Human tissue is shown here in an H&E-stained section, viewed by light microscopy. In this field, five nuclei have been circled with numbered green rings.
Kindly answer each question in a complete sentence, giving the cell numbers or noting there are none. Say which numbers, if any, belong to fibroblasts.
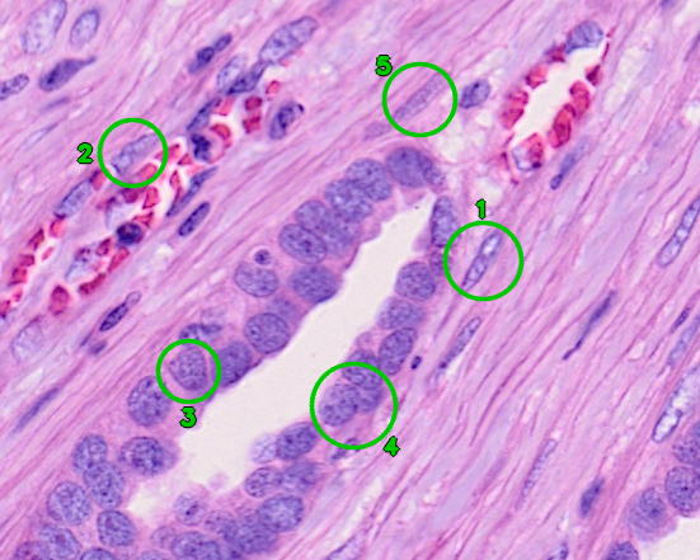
The cells that the numbers 1 and 5 belong to are fibroblasts.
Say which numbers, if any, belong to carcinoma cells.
The cells with the numbers 3 and 4 are carcinoma cells.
